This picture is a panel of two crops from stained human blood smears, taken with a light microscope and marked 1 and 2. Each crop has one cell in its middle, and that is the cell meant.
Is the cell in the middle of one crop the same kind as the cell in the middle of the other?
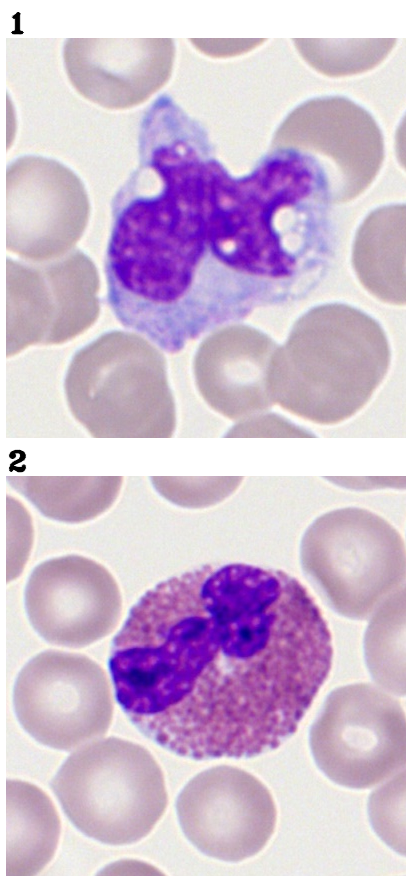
no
